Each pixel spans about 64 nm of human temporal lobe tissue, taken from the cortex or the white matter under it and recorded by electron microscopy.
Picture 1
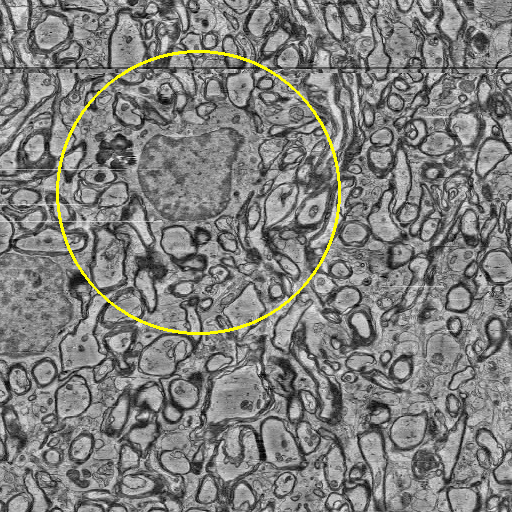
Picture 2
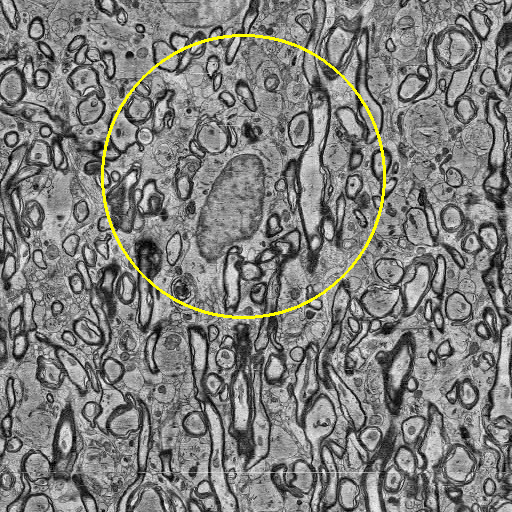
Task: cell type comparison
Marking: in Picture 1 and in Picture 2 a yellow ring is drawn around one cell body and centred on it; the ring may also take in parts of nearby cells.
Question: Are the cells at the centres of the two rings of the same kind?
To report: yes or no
no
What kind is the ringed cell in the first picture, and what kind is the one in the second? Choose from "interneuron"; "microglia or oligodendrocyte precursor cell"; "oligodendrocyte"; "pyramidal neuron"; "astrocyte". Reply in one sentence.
The first cell is an oligodendrocyte; the second is a microglial cell or oligodendrocyte precursor cell.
